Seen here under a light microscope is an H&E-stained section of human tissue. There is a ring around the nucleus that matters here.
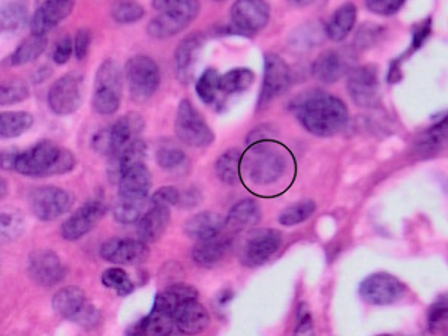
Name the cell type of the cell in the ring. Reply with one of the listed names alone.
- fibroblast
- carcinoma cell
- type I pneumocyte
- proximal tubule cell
carcinoma cell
